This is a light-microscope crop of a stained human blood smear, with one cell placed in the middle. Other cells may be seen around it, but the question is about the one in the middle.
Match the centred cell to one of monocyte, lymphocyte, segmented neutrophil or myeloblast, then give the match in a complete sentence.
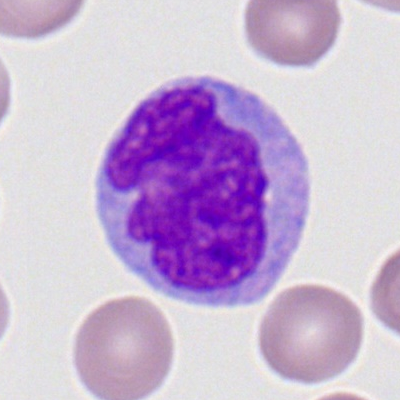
At the center of the crop sits a monocyte.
